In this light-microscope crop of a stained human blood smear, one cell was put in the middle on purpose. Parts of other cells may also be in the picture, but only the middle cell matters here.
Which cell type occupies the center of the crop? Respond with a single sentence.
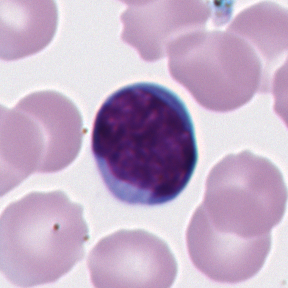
Regarding the central cell, it is a typical lymphocyte.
